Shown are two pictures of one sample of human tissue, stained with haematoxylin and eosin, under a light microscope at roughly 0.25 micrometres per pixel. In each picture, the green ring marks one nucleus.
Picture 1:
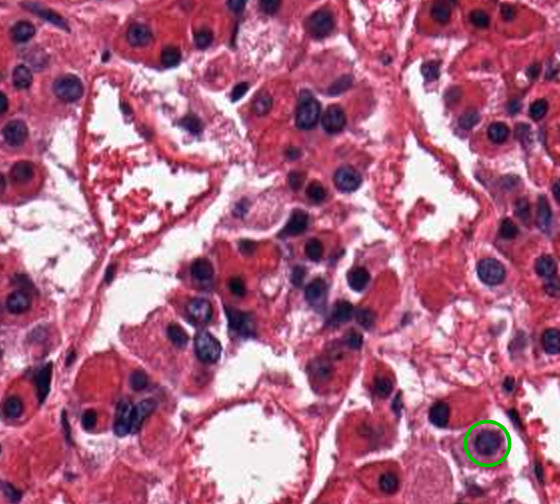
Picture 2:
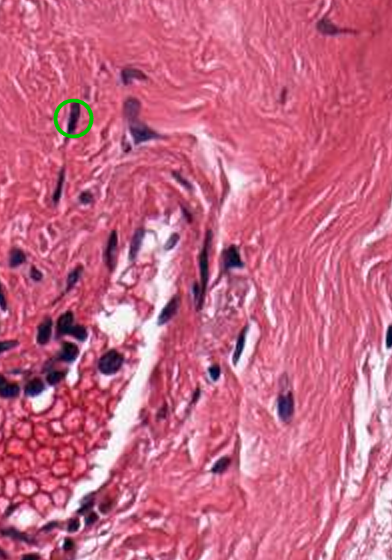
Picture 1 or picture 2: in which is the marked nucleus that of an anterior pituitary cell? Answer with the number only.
1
